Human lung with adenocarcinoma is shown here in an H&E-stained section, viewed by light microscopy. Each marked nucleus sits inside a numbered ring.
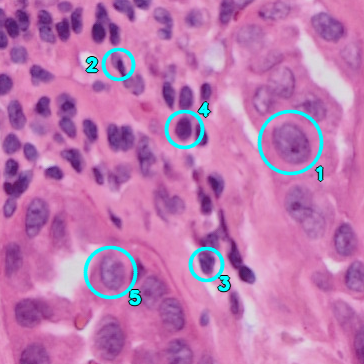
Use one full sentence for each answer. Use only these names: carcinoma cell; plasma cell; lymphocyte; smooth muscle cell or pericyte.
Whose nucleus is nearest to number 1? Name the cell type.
Closest to number 1 lies the nucleus of a carcinoma cell.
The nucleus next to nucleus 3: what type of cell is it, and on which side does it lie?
The nearest one is a plasma cell, found above nucleus 3.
